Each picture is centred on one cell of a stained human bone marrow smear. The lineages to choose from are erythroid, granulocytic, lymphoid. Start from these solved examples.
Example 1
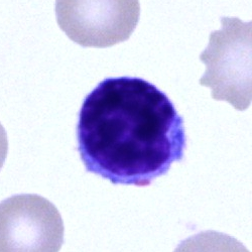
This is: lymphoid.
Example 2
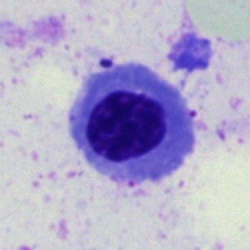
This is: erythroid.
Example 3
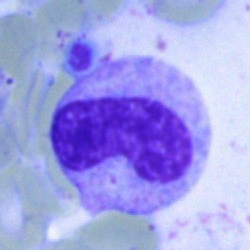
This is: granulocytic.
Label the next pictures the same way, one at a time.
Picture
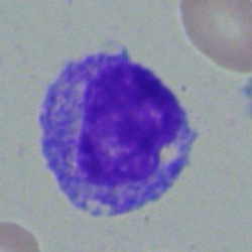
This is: granulocytic.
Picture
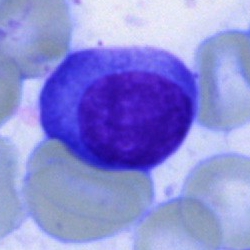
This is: lymphoid.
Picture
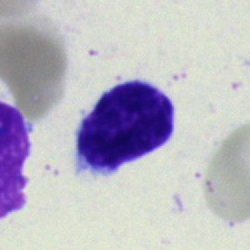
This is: lymphoid.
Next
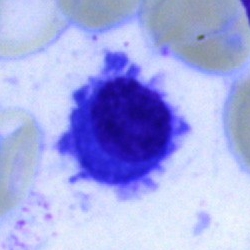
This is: lymphoid.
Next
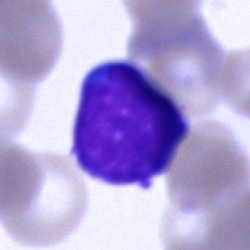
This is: lymphoid.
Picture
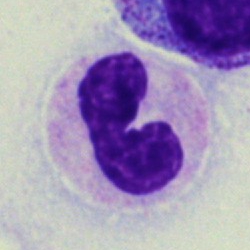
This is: granulocytic.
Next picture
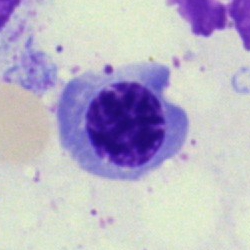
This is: erythroid.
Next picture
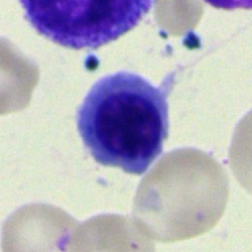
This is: erythroid.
